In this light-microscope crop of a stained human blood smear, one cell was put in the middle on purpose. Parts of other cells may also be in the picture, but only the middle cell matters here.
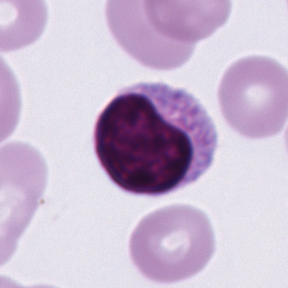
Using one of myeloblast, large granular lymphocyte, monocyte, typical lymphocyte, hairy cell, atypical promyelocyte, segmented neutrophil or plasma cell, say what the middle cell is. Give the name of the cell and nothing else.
large granular lymphocyte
